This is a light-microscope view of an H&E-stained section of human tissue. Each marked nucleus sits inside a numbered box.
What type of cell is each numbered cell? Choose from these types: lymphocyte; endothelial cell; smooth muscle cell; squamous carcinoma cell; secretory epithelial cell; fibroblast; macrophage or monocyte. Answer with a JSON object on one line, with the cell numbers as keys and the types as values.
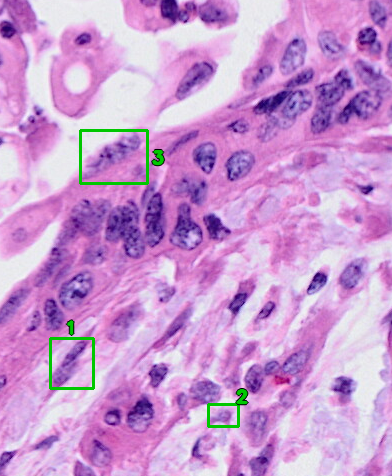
{"1": "fibroblast", "2": "fibroblast", "3": "squamous carcinoma cell"}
